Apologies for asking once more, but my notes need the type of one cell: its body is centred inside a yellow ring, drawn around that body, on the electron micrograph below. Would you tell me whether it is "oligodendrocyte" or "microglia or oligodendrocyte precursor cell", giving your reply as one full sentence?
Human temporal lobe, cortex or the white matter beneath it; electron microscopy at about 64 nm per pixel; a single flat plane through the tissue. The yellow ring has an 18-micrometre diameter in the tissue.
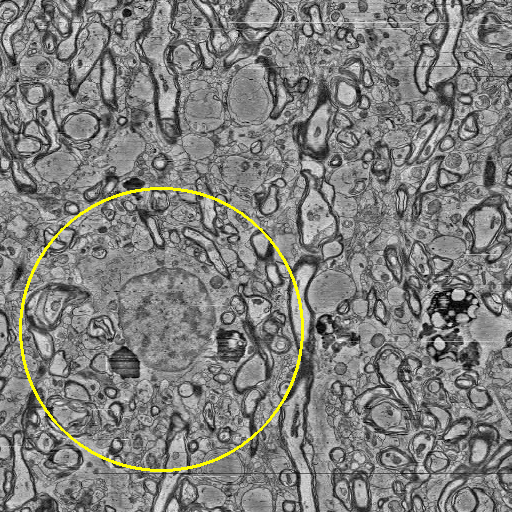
The cell that the yellow ring is centred on is an oligodendrocyte in this micrograph.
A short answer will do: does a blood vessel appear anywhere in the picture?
No, there is none.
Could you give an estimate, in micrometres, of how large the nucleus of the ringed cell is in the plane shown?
In this plane, the nucleus measures approximately 7 micrometres across.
